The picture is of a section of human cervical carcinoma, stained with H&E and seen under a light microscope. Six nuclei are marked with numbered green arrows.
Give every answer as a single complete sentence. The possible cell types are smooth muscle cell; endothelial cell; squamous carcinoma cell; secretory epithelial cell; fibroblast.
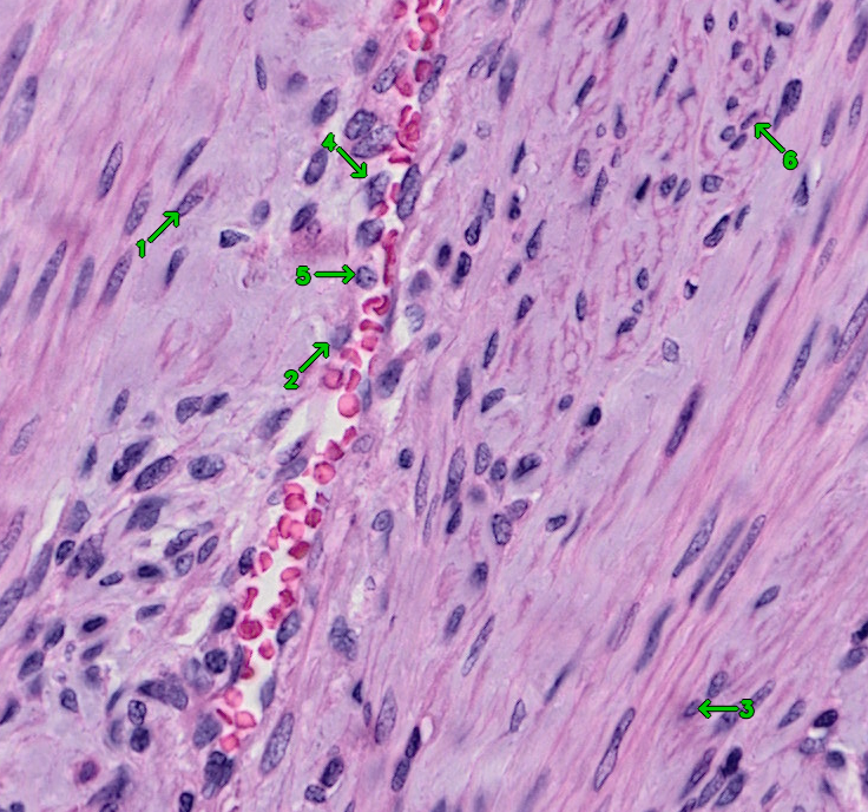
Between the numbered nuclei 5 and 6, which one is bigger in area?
Nucleus 5 is the larger one, covering about 4 times the area of nucleus 6.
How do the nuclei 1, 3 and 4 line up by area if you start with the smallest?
Smallest first, the nuclei run 3, 1, 4.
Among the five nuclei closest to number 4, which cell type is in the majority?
Of the five nuclei nearest to number 4, most belong to endothelial cells.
